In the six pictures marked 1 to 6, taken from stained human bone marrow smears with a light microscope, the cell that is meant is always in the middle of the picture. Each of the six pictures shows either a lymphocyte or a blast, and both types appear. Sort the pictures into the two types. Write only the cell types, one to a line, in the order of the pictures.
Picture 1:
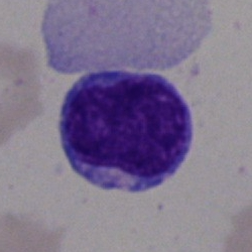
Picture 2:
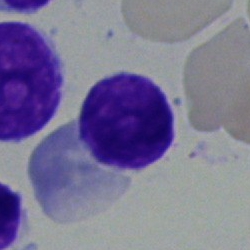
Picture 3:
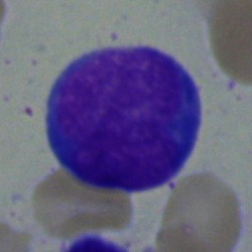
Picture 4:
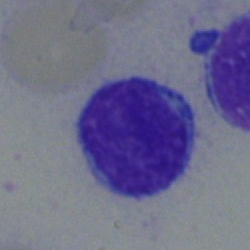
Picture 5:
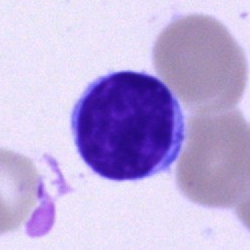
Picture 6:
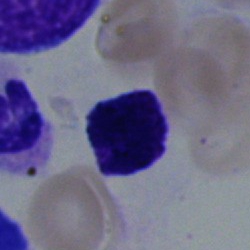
blast
lymphocyte
blast
lymphocyte
lymphocyte
lymphocyte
